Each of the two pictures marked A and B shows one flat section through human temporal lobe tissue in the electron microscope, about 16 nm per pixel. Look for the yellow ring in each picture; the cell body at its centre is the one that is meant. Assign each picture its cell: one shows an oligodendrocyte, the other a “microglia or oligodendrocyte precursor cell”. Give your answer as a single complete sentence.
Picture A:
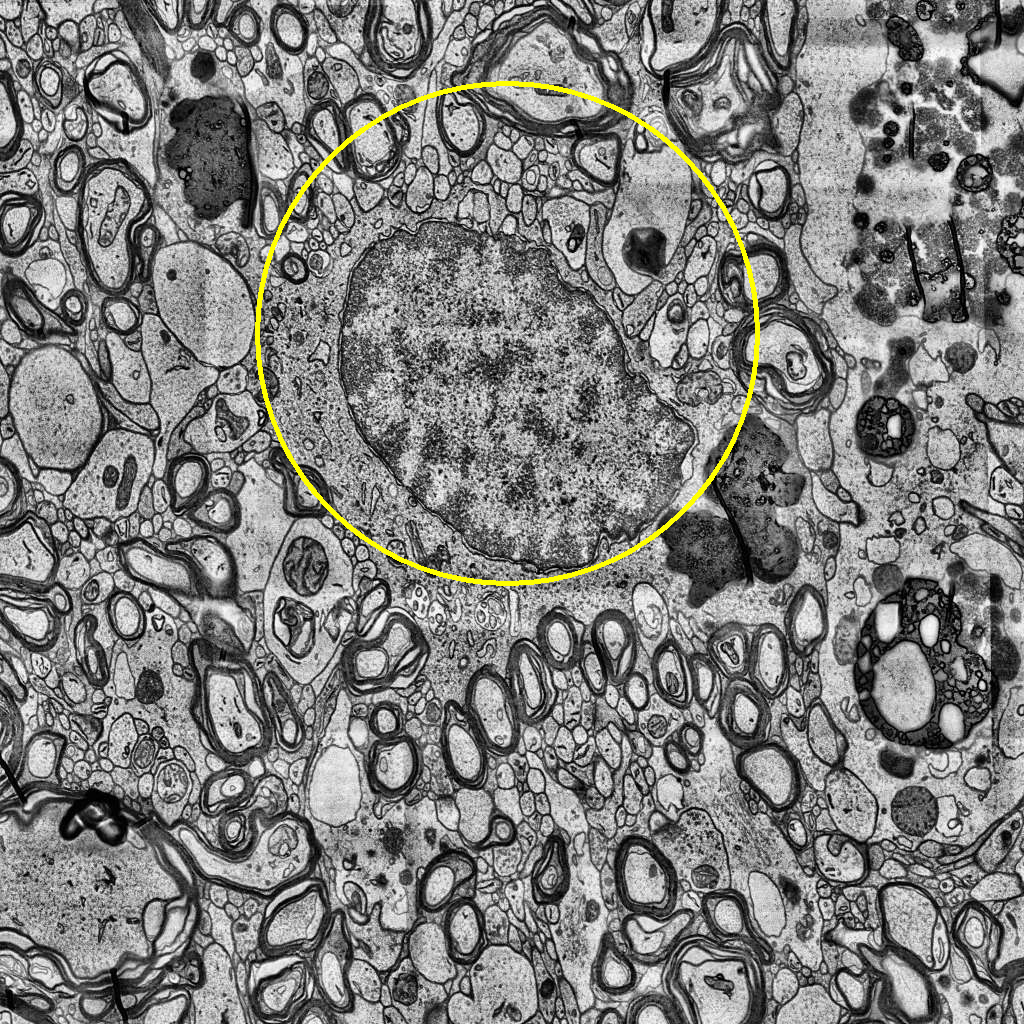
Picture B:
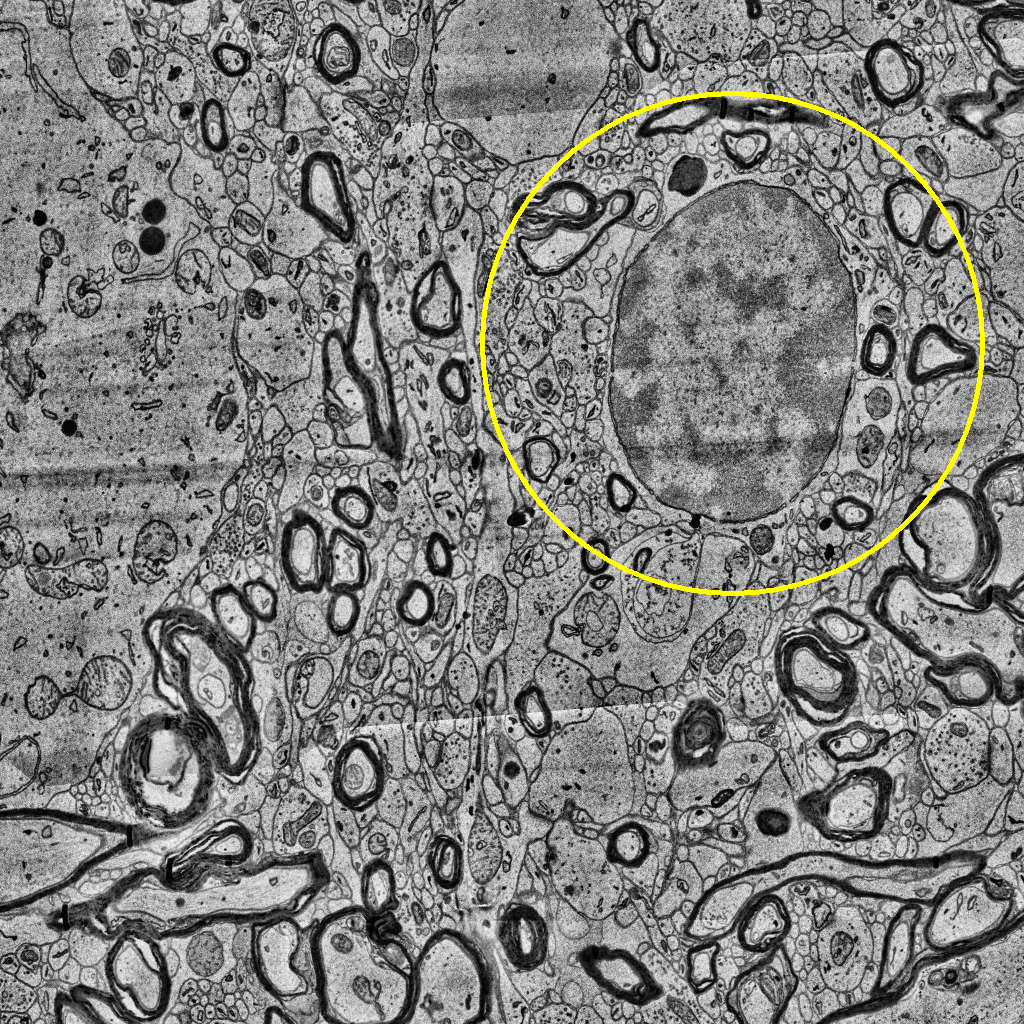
In picture A the cell is an oligodendrocyte; in picture B, a “microglia or oligodendrocyte precursor cell”.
